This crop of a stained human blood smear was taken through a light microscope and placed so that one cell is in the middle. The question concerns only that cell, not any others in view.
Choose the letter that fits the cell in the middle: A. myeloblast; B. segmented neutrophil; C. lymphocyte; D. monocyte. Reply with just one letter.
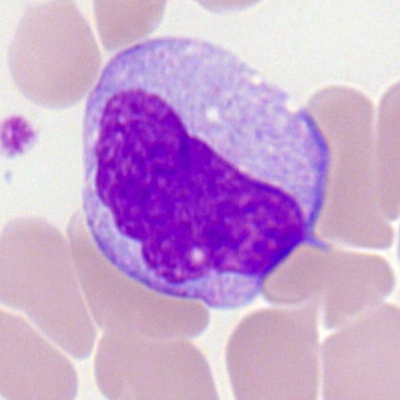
D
